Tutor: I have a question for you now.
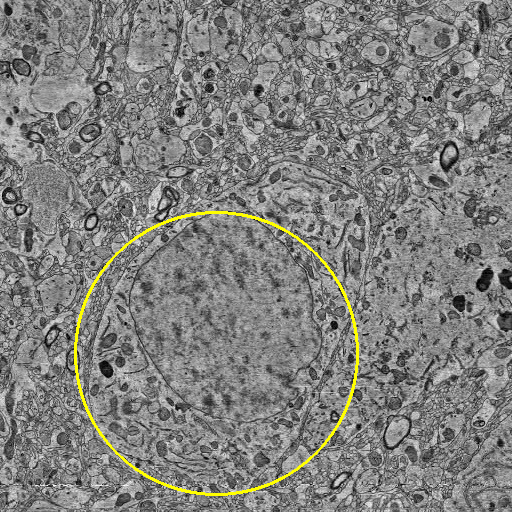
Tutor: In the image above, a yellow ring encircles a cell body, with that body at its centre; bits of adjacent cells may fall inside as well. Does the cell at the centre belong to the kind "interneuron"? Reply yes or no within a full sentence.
Yes, the cell at the centre of the yellow ring in the picture is of that kind.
